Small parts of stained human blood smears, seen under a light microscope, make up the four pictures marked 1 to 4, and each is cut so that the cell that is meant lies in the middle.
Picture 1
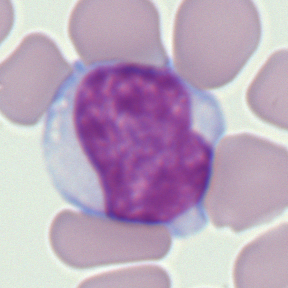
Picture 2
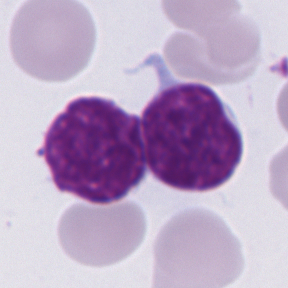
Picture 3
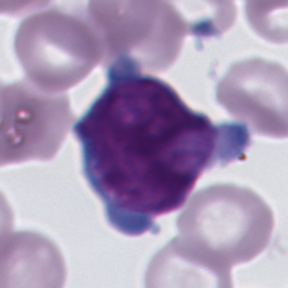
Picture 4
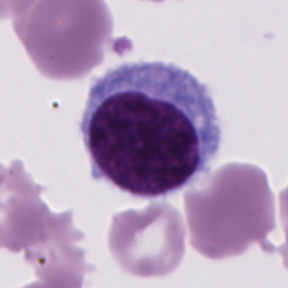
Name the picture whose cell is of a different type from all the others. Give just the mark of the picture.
4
